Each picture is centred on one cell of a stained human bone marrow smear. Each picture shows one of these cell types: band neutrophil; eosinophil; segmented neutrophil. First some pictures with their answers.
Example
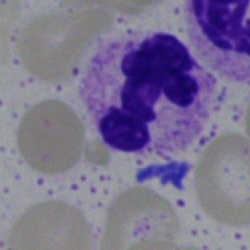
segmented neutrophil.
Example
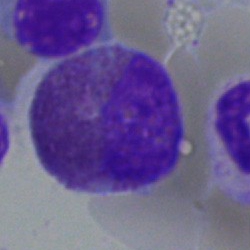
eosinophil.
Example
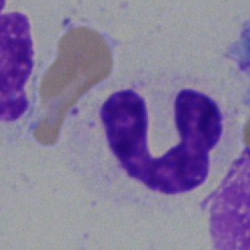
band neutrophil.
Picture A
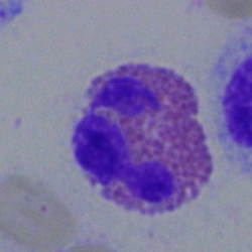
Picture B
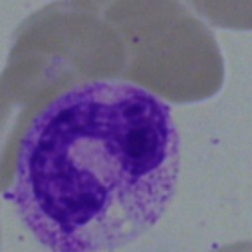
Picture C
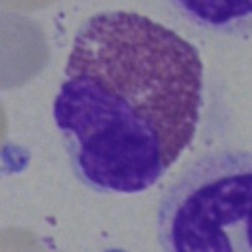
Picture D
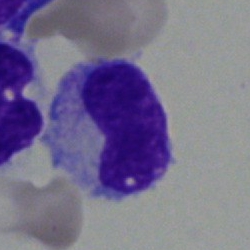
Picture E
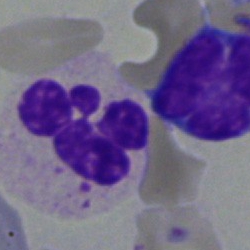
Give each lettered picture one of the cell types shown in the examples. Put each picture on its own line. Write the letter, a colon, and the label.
A: eosinophil.
B: band neutrophil.
C: eosinophil.
D: band neutrophil.
E: segmented neutrophil.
